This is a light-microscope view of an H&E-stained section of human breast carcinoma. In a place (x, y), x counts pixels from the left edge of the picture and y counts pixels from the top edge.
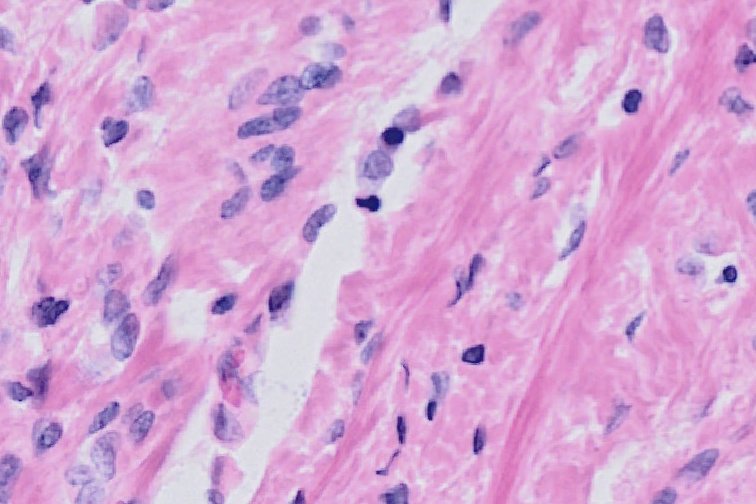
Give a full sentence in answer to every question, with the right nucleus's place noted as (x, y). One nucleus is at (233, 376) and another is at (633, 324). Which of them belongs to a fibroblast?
The nucleus whose position is (633, 324) belongs to a fibroblast.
